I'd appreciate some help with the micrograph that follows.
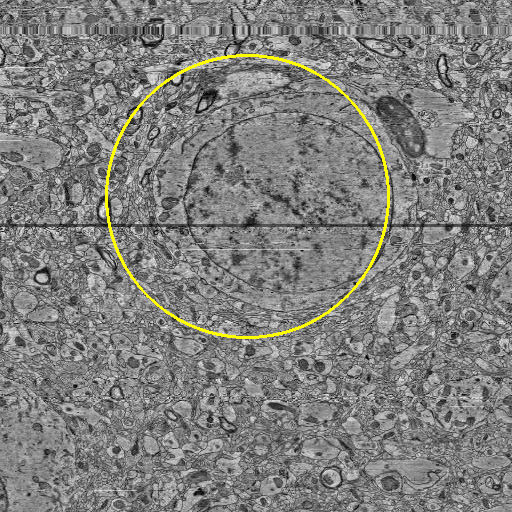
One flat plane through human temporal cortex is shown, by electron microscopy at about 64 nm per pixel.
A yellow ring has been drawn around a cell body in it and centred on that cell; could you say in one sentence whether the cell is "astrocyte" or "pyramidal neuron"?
It is a pyramidal neuron at the centre of the ring.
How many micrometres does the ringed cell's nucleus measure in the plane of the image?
In this plane, the nucleus of the cell at the centre of the ring is about 13 micrometres across.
